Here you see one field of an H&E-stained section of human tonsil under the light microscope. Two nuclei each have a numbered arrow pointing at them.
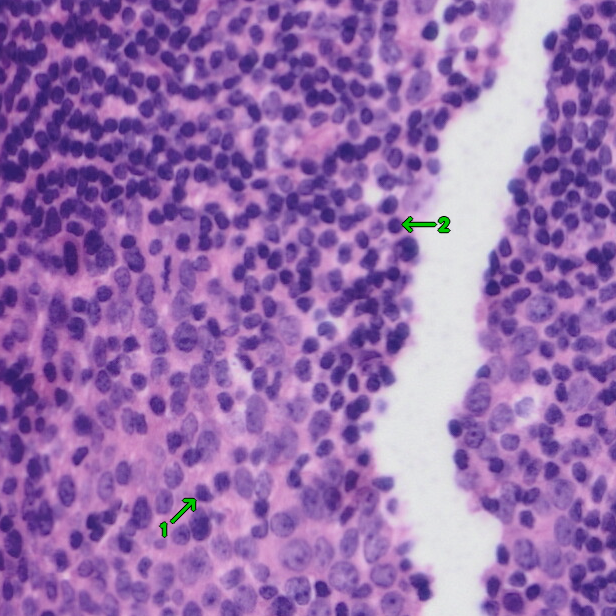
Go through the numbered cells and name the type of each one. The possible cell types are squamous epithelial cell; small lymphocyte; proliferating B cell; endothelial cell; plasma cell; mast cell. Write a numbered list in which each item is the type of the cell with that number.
1. proliferating B cell
2. small lymphocyte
